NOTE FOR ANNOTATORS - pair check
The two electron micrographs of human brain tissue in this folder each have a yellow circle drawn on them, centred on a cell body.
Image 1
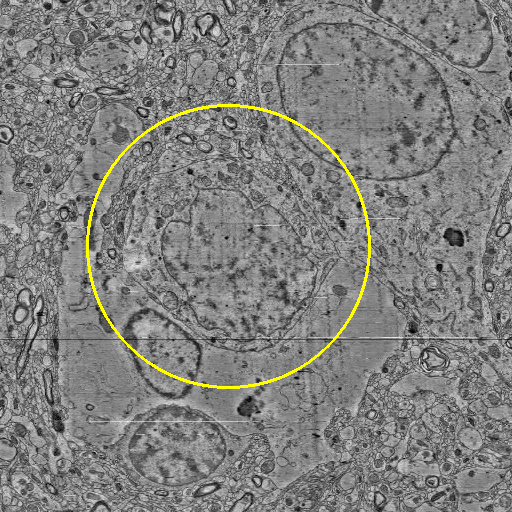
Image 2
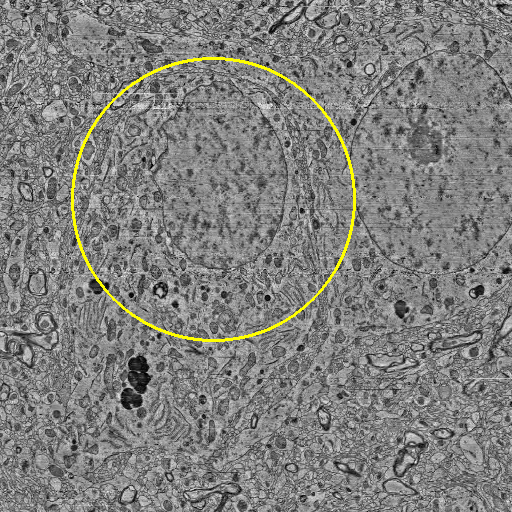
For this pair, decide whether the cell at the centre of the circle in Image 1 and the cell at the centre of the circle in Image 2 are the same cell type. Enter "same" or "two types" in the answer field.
two types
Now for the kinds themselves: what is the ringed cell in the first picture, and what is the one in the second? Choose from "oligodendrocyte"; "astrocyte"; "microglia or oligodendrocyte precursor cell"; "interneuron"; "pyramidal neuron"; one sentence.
Here the first cell is a pyramidal neuron and the second cell is an interneuron.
